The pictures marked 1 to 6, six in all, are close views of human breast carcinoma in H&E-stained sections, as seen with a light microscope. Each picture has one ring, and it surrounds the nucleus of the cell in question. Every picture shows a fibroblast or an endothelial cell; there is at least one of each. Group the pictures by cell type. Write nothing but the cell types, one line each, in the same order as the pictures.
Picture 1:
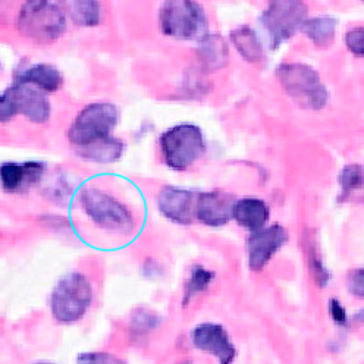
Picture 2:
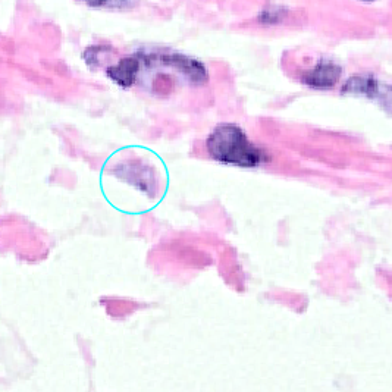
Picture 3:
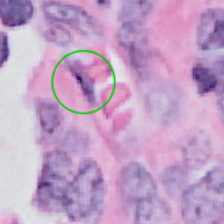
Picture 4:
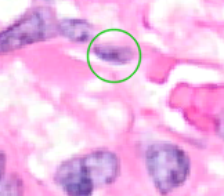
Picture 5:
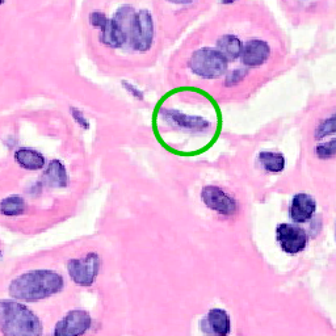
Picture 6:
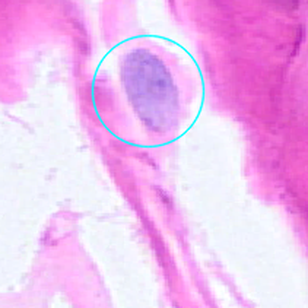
endothelial cell
fibroblast
endothelial cell
endothelial cell
fibroblast
fibroblast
